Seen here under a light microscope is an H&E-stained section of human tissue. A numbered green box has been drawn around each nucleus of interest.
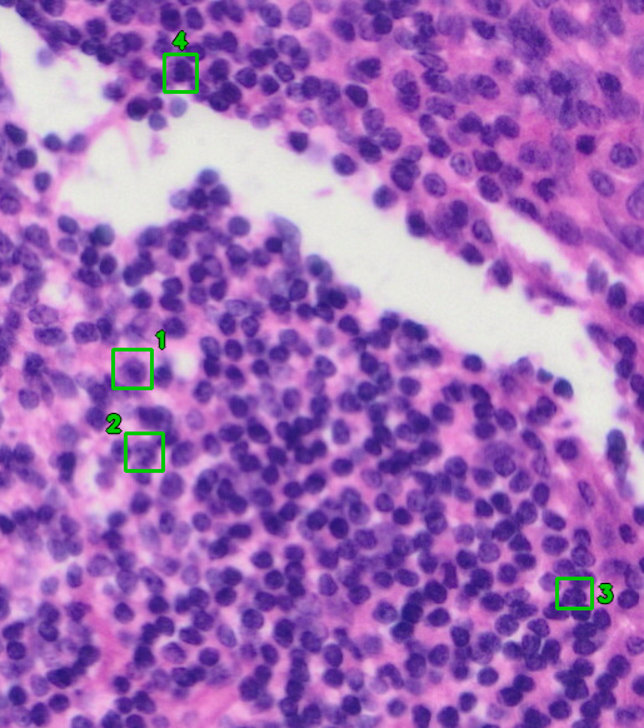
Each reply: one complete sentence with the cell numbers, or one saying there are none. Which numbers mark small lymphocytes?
The cells marked 2, 3 and 4 in the section are small lymphocytes.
